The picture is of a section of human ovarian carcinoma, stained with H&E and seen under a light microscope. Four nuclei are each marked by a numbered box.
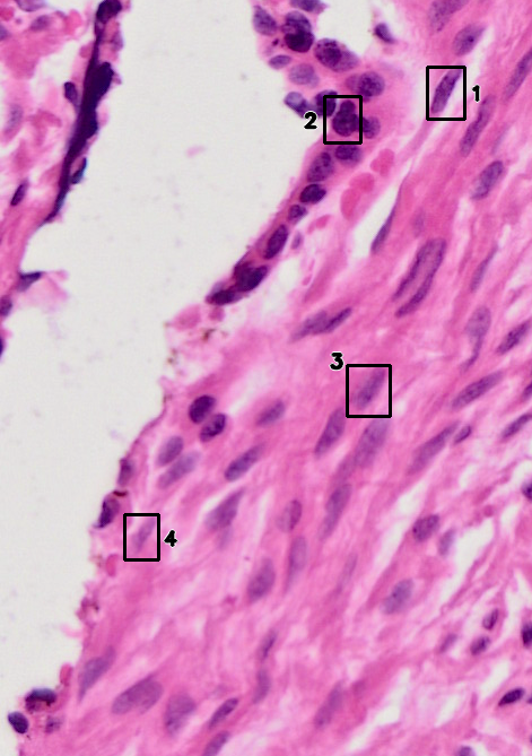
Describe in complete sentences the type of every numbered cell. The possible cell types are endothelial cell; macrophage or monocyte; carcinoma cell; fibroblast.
Cells 1, 3 and 4 are fibroblasts. Cell 2 is a carcinoma cell.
